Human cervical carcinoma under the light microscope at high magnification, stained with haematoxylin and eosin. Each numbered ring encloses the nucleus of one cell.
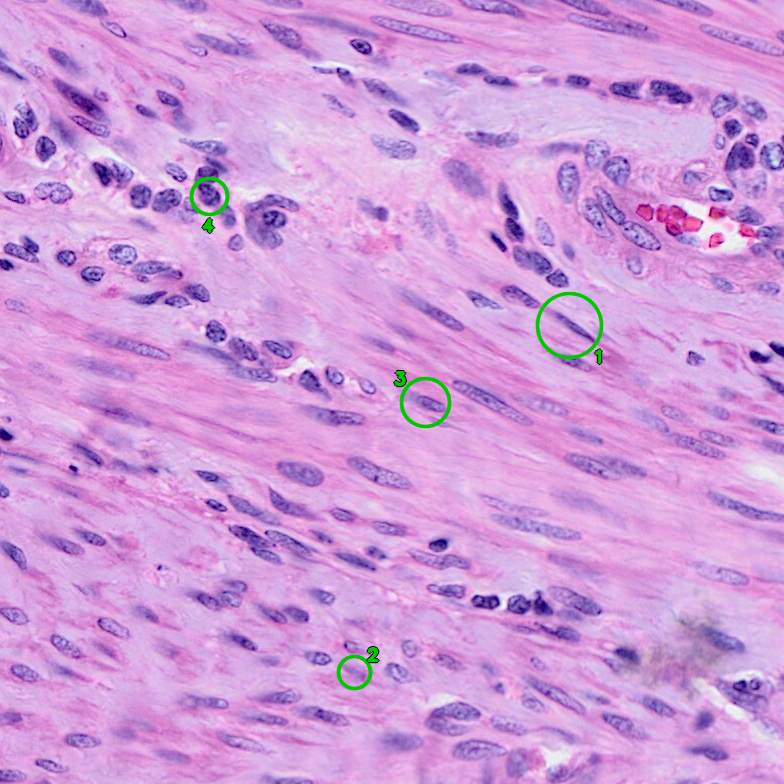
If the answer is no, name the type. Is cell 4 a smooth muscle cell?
No, it is a lymphocyte.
